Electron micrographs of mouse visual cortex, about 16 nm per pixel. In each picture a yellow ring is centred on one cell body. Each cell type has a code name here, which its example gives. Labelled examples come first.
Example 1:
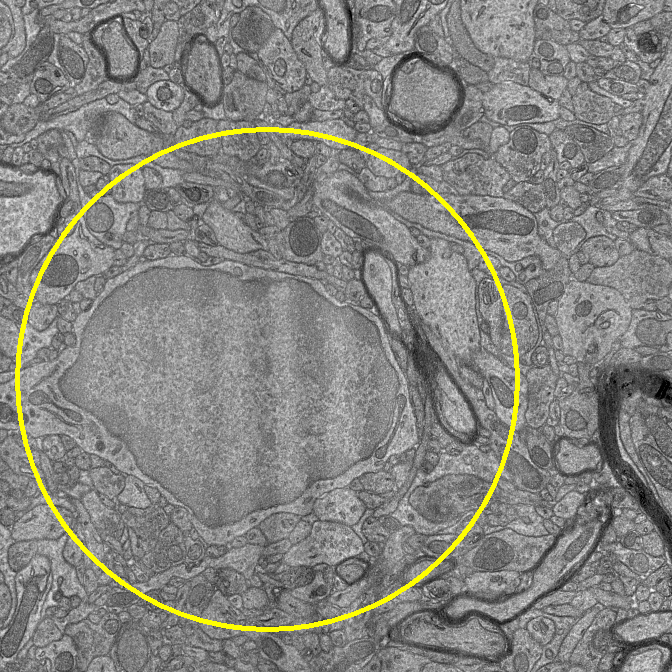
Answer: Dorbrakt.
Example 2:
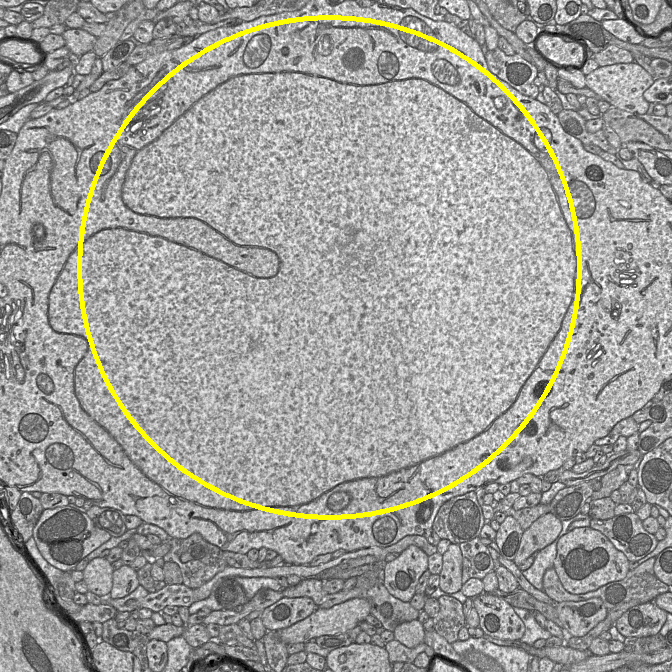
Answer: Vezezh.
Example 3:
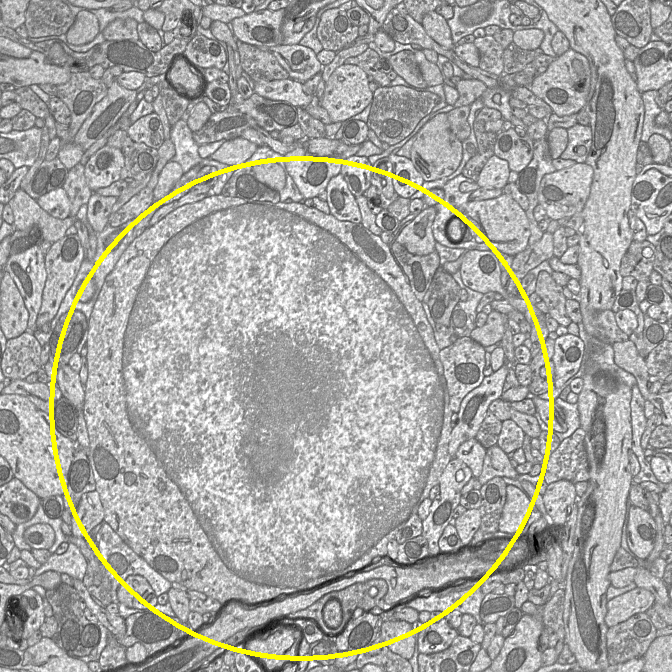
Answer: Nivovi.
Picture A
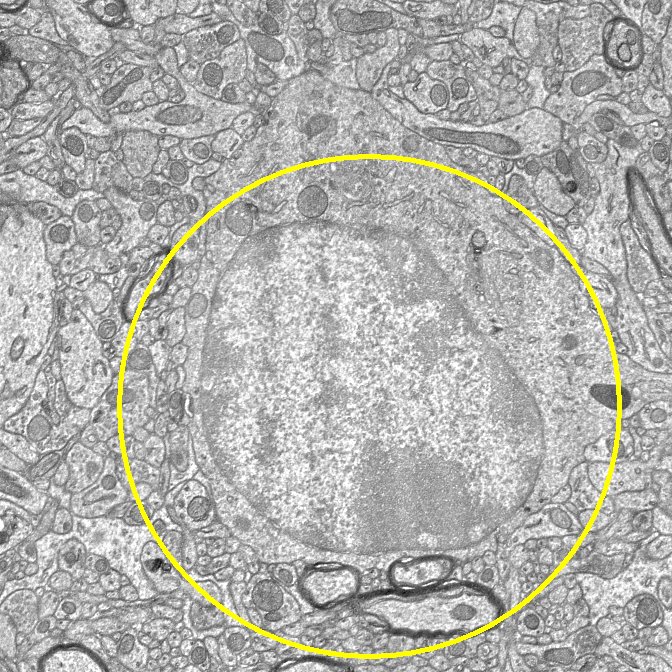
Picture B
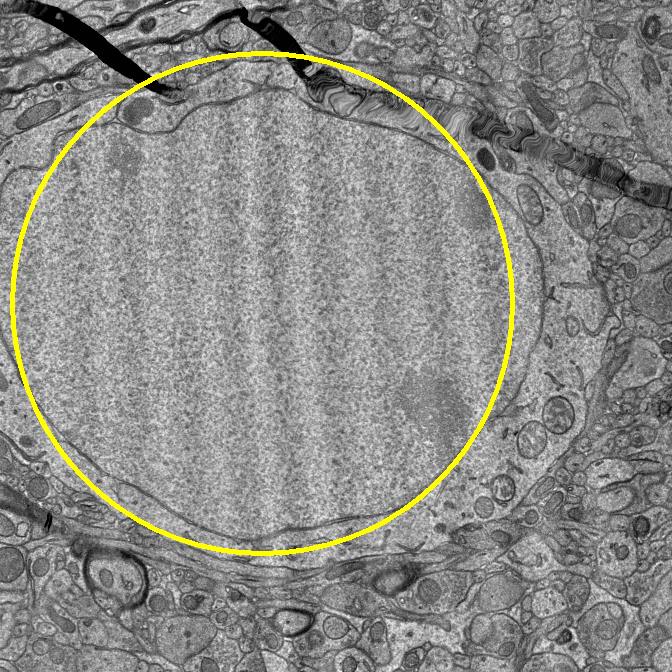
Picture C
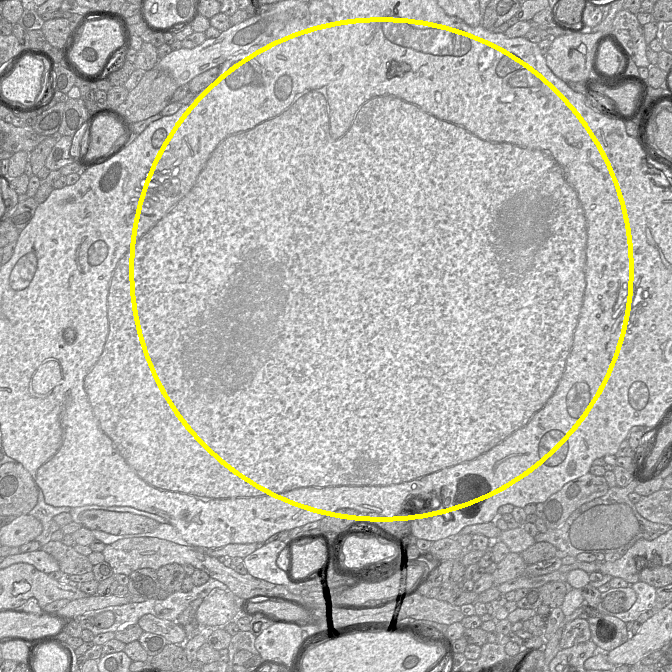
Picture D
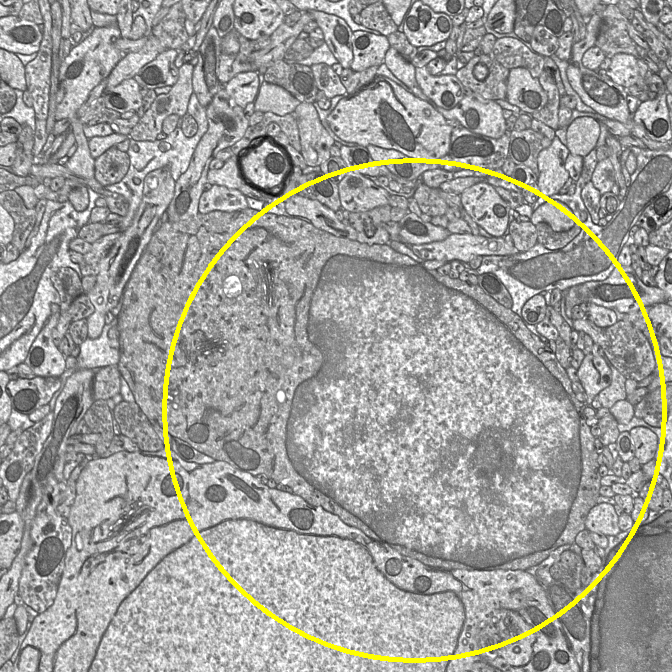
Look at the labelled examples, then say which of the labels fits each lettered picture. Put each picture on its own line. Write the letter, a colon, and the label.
A: Nivovi.
B: Vezezh.
C: Vezezh.
D: Nivovi.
